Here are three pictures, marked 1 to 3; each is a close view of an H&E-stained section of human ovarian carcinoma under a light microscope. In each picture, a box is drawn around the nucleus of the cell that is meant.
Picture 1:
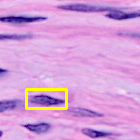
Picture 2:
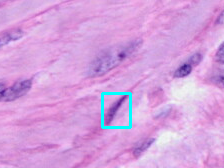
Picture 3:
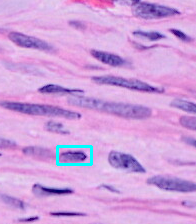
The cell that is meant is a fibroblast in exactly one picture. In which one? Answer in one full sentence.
It is picture 2 that shows the fibroblast.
